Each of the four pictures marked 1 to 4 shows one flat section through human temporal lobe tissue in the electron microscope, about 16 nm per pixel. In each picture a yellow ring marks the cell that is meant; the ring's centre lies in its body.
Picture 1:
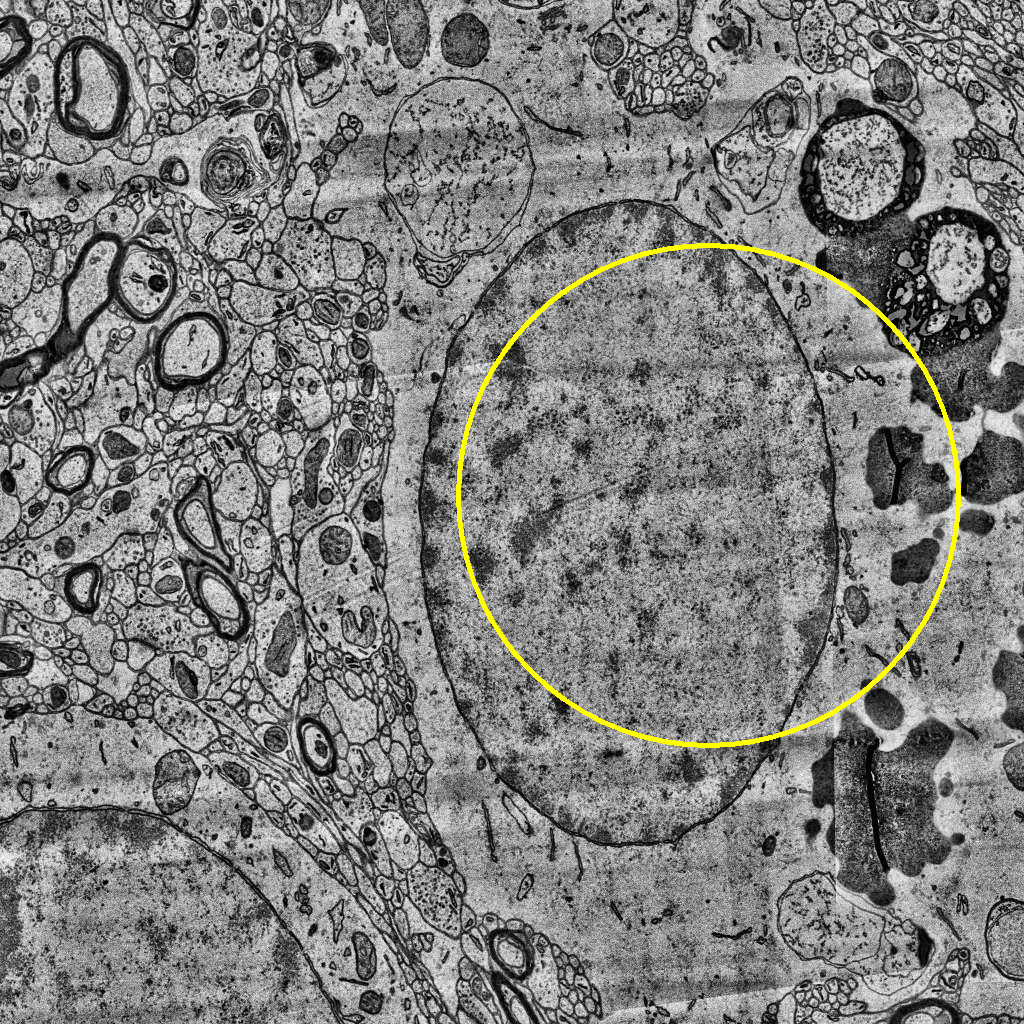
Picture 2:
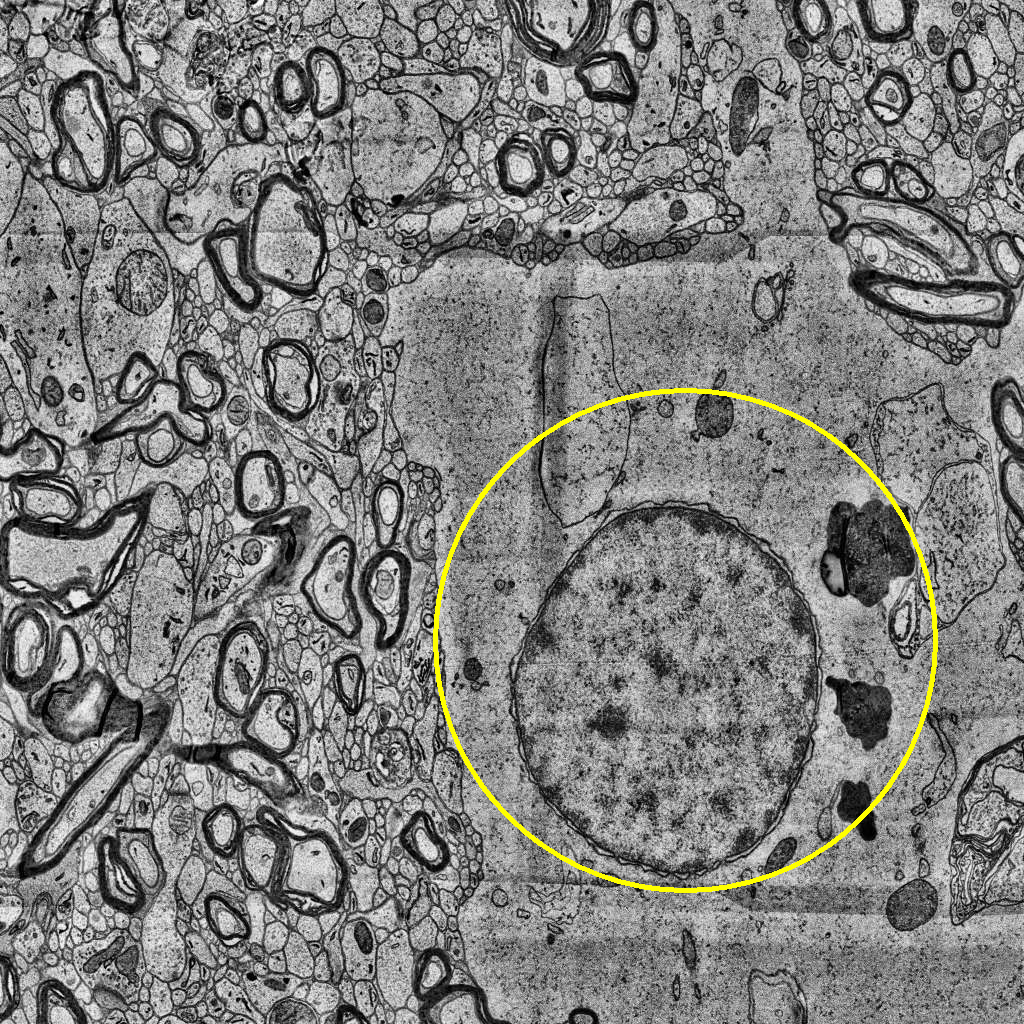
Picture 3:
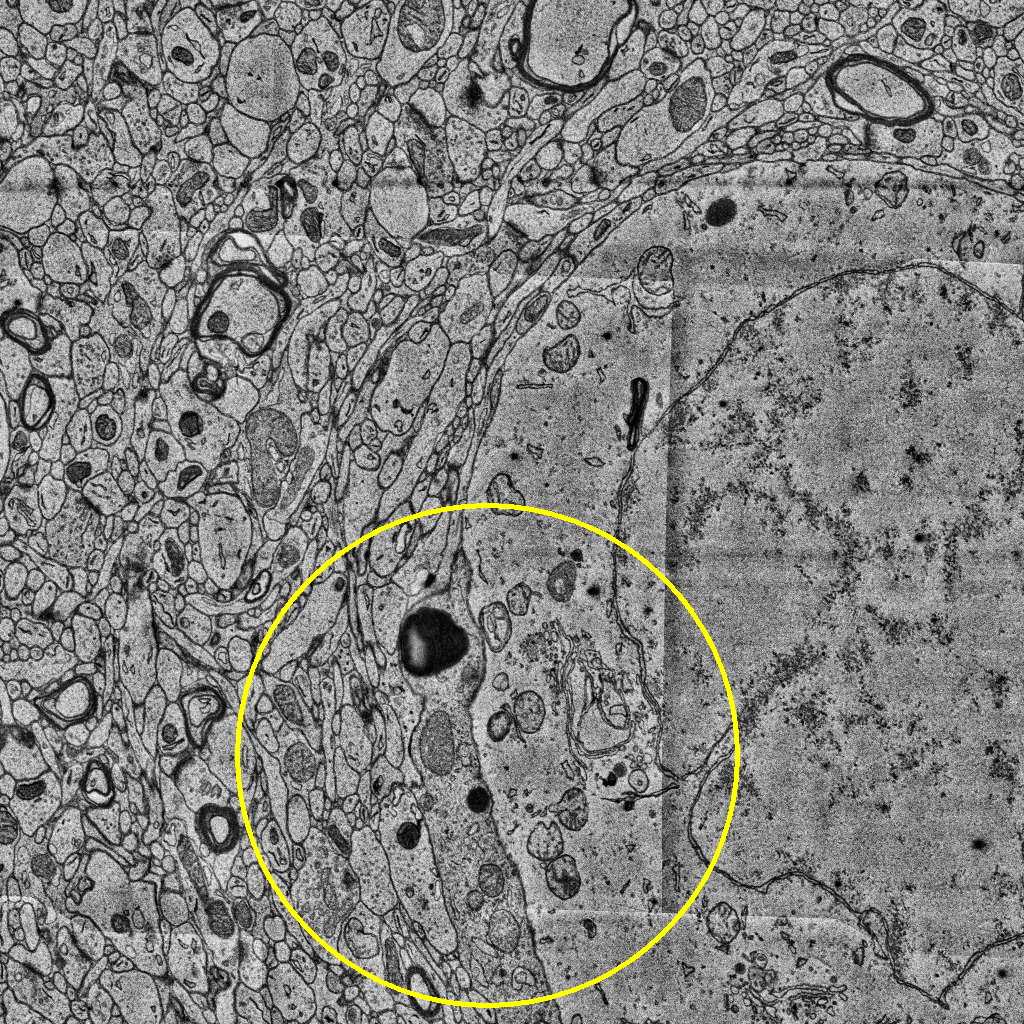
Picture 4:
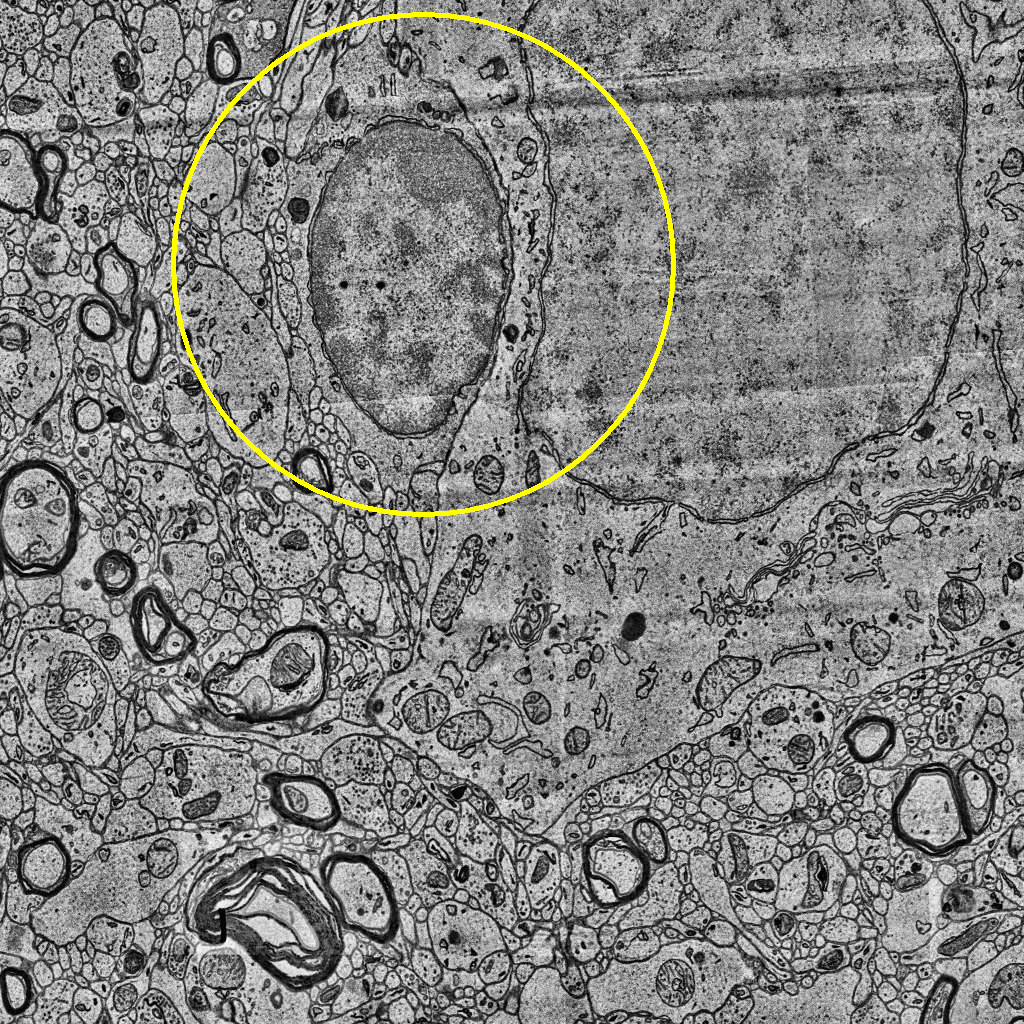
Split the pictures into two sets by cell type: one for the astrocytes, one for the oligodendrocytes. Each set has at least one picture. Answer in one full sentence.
Pictures 1 and 2 show astrocytes, while pictures 3 and 4 show oligodendrocytes.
